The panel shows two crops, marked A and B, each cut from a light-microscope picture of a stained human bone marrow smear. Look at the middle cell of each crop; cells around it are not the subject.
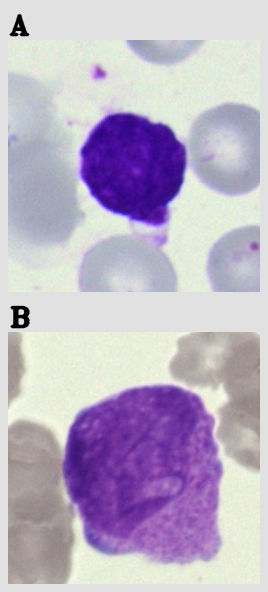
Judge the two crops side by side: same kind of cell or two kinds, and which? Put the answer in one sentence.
No, crop A depicts a lymphocyte; crop B depicts a blast.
